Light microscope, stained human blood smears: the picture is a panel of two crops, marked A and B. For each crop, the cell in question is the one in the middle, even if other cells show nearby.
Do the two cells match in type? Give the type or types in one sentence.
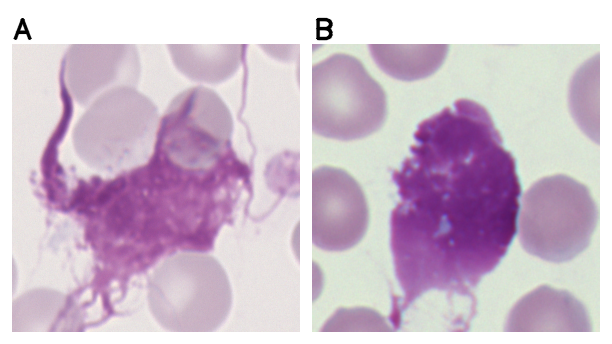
Yes, that is right, both crops show smudge cells.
